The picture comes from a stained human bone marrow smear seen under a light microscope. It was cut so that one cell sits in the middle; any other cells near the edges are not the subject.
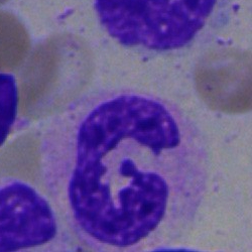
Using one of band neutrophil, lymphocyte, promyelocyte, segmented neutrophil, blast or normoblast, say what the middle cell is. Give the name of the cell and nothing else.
segmented neutrophil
